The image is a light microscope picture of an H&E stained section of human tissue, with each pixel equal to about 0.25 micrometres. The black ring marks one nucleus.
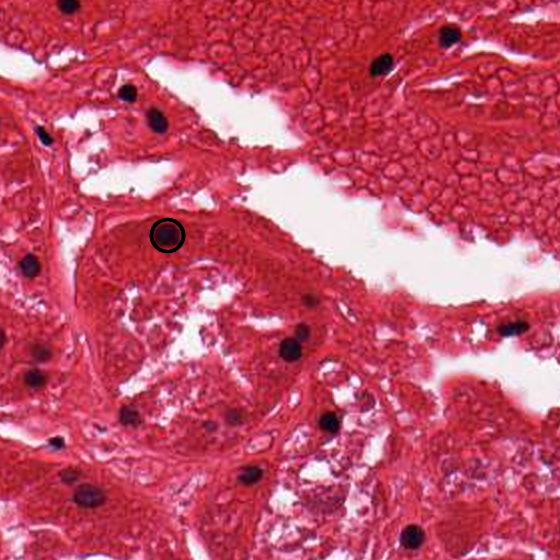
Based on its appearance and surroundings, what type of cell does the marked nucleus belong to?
proximal tubule cell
